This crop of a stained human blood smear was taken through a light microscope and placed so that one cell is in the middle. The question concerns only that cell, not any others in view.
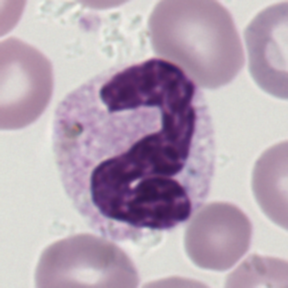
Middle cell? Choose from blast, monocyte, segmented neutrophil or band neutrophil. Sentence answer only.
The cell centred in this crop is categorized as a segmented neutrophil.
